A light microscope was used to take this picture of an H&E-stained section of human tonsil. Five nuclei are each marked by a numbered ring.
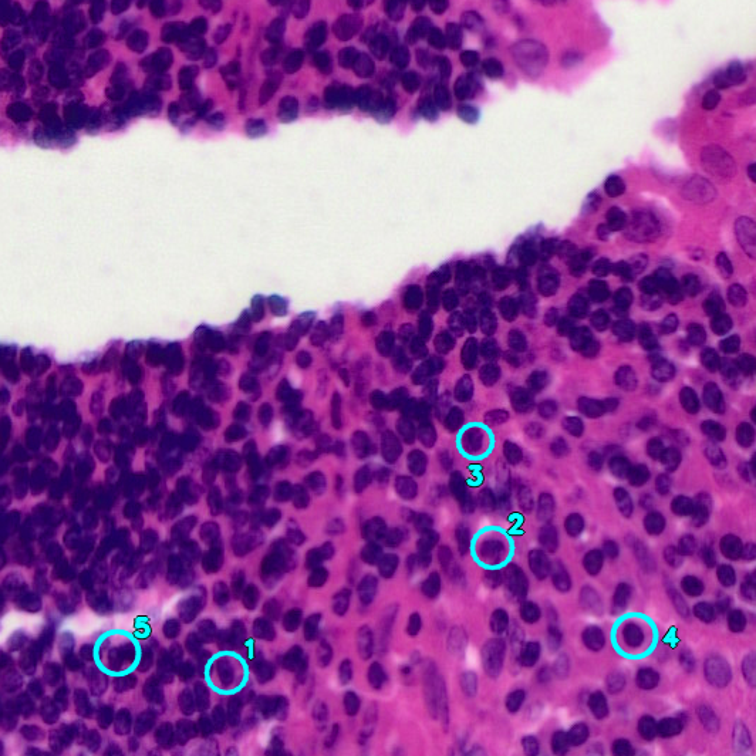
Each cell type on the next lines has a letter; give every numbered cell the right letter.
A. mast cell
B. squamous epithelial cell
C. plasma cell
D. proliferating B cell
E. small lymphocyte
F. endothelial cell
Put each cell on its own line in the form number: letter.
1: E
2: C
3: C
4: C
5: E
